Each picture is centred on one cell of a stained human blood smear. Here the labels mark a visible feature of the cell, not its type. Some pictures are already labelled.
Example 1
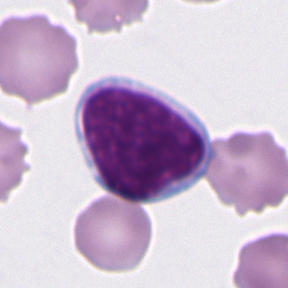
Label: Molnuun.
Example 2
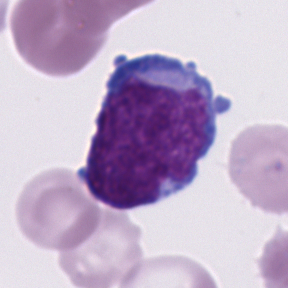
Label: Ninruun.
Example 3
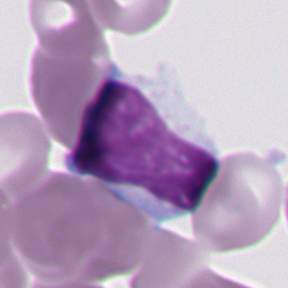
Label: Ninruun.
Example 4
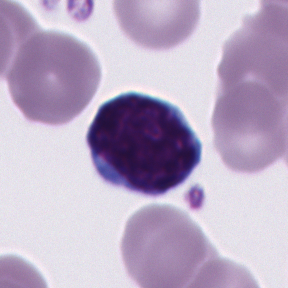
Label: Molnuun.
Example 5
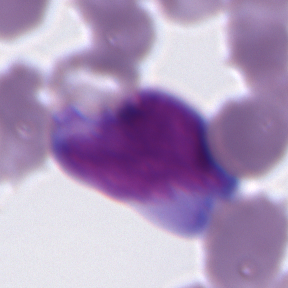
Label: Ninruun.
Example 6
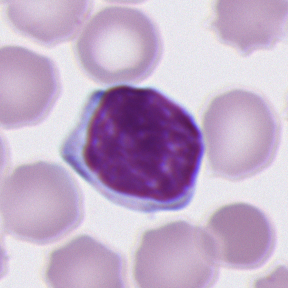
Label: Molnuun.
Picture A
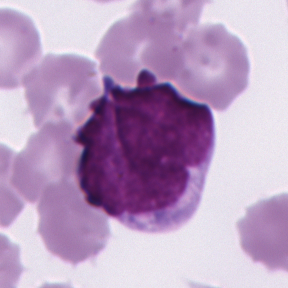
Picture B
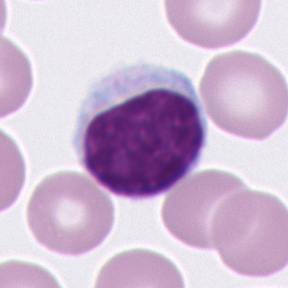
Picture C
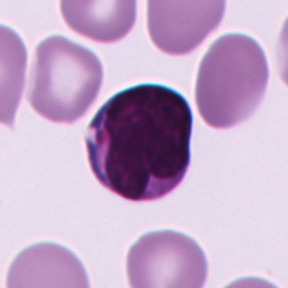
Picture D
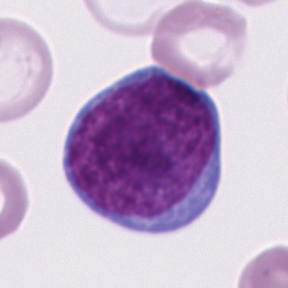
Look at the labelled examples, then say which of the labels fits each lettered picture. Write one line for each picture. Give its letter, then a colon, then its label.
A: Ninruun.
B: Ninruun.
C: Molnuun.
D: Molnuun.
